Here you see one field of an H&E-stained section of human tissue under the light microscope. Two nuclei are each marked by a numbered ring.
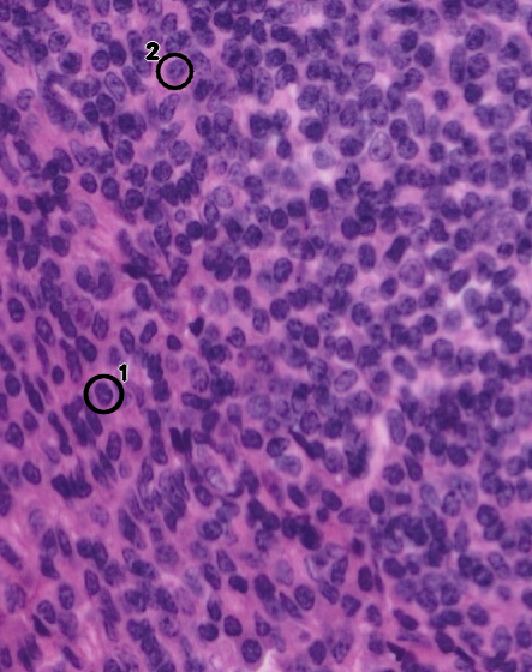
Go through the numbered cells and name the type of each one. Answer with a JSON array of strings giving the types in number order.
["plasma cell", "small lymphocyte"]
